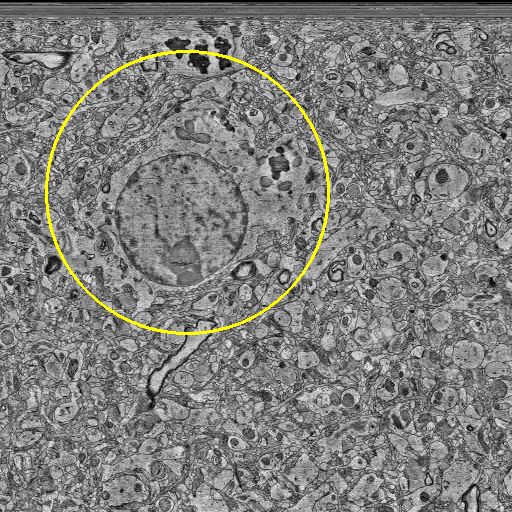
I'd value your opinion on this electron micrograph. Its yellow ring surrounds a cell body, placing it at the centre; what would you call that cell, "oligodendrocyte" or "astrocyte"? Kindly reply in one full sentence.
It is an astrocyte that sits centred within the yellow ring in this micrograph.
